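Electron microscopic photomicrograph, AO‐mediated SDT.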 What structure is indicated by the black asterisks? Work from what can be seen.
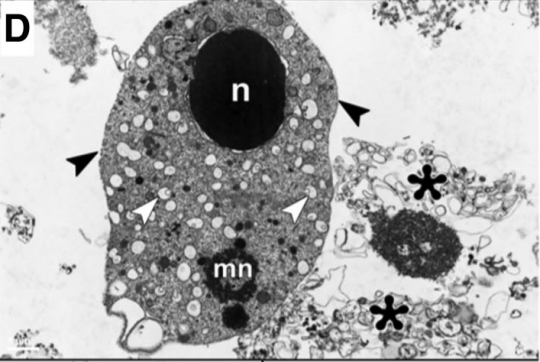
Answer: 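Cell debris. The asterisks lie outside the cell among loose membranous fragments and small vesicles. The fragmented material has no intact cell outline.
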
